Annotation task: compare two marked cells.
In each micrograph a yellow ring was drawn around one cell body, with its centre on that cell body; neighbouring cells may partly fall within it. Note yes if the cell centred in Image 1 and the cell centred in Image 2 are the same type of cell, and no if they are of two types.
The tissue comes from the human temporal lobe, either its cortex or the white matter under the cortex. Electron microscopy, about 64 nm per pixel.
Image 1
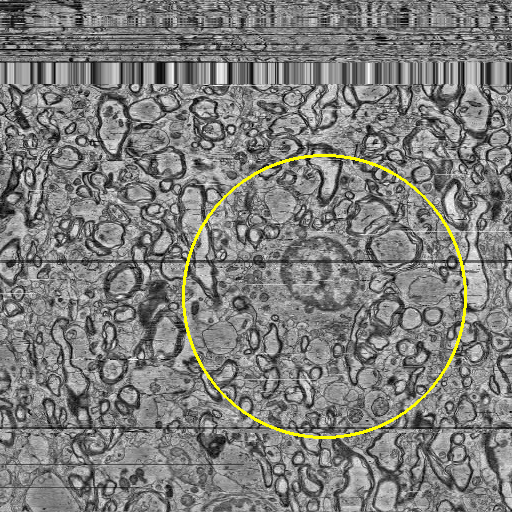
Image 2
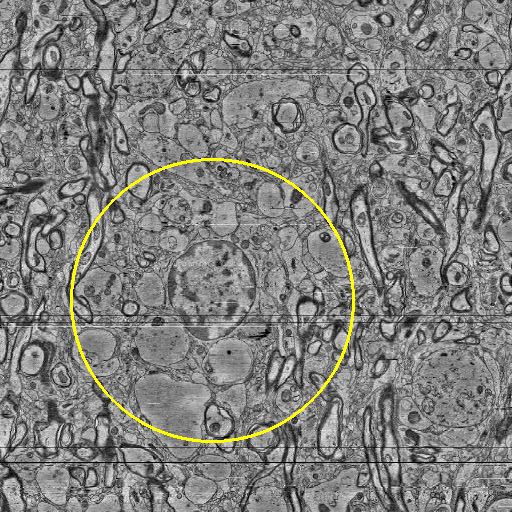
no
